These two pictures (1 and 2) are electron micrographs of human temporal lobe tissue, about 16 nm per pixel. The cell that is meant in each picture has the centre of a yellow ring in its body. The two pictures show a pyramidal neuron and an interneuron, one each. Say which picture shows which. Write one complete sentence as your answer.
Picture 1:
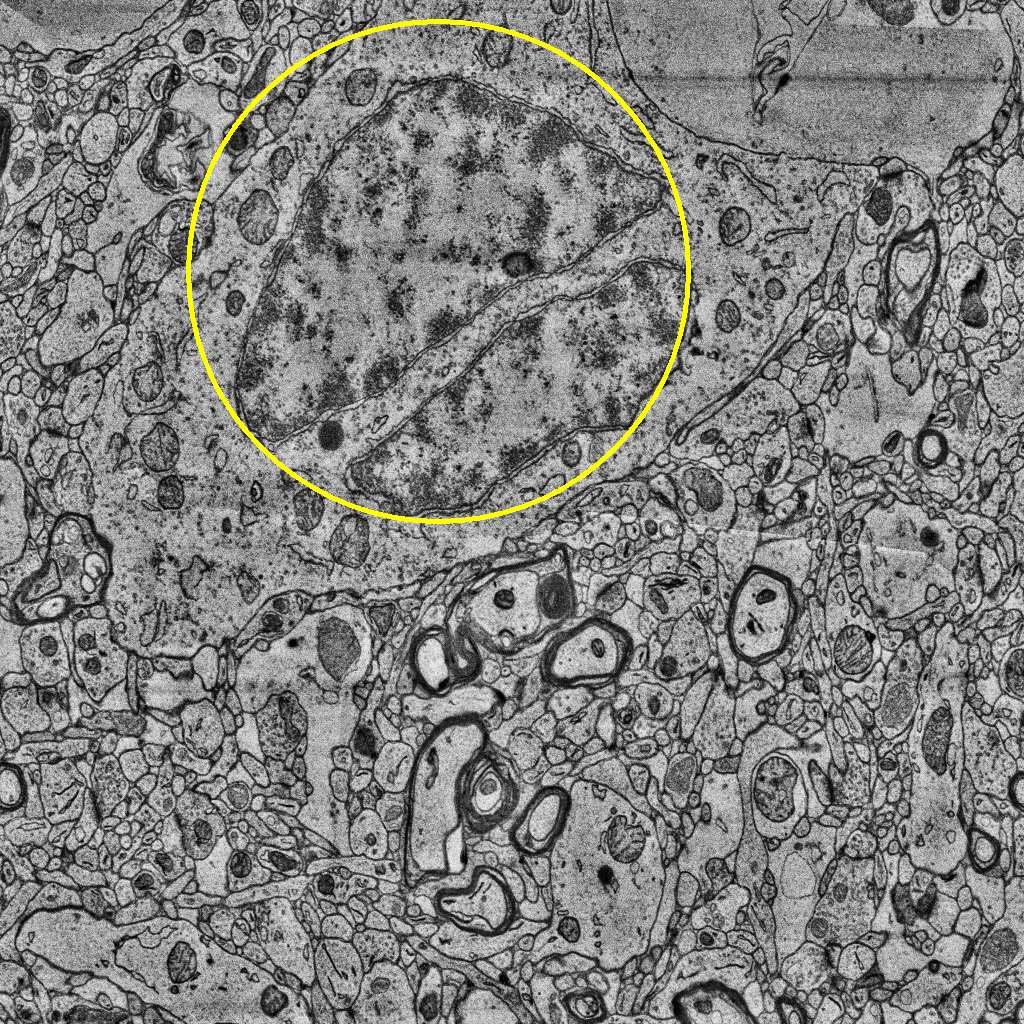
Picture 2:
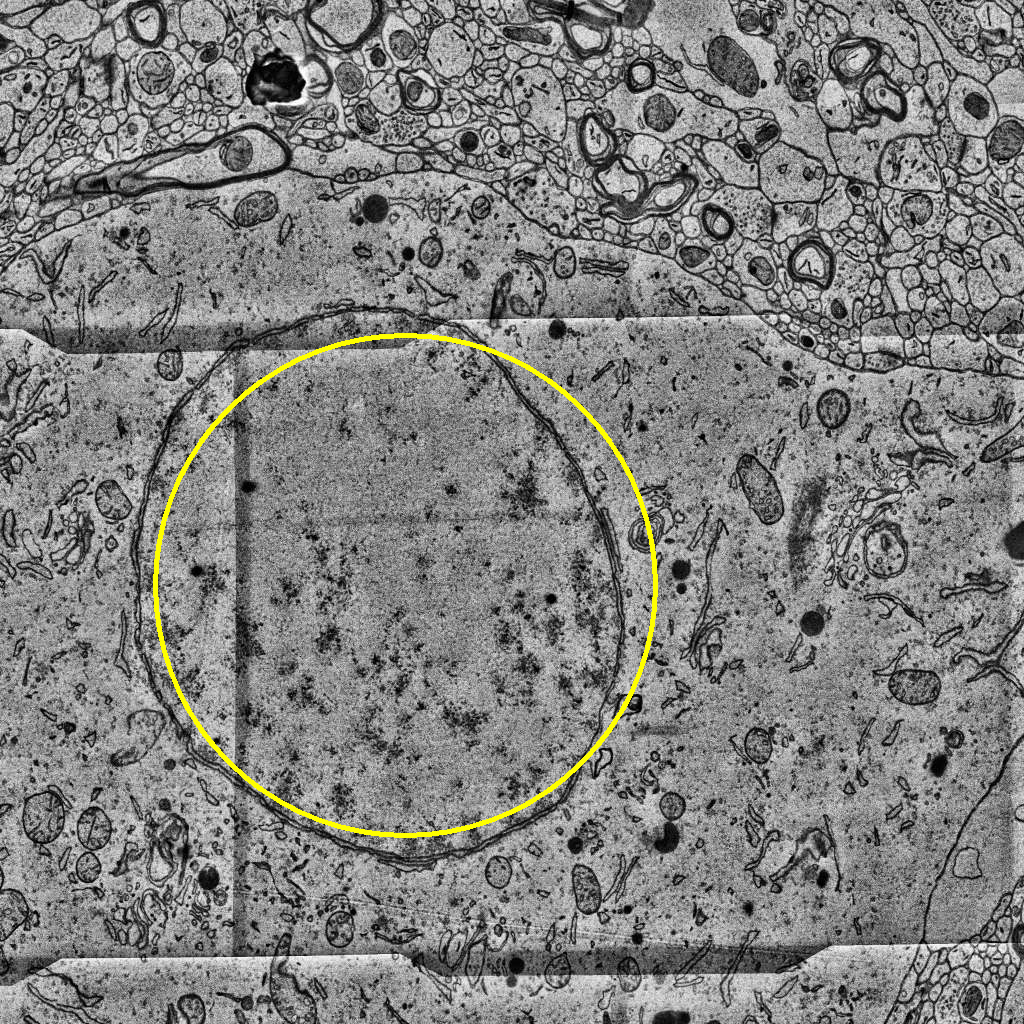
The cell in picture 1 is an interneuron, and the one in picture 2 is a pyramidal neuron.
